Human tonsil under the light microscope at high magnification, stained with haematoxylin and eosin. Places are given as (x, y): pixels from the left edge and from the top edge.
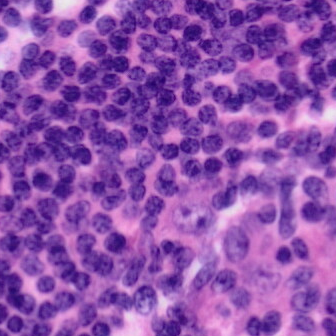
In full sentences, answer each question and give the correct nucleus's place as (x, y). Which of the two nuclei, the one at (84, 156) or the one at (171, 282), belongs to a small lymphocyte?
The nucleus at position (84, 156) belongs to a small lymphocyte.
